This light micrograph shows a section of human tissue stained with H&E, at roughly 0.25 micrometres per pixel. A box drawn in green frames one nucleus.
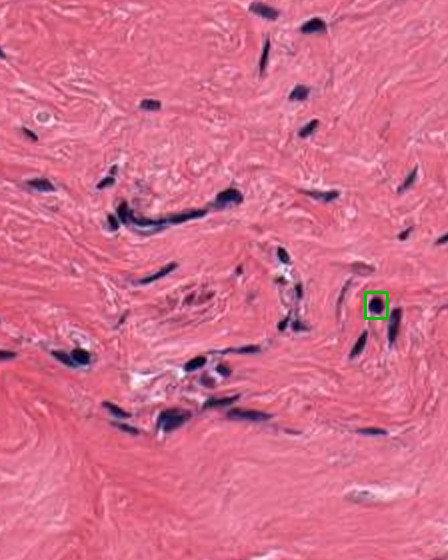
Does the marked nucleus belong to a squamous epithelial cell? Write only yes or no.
no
